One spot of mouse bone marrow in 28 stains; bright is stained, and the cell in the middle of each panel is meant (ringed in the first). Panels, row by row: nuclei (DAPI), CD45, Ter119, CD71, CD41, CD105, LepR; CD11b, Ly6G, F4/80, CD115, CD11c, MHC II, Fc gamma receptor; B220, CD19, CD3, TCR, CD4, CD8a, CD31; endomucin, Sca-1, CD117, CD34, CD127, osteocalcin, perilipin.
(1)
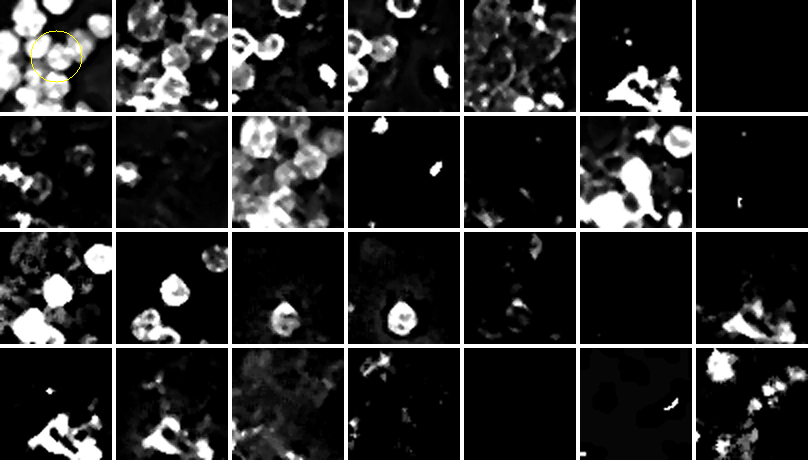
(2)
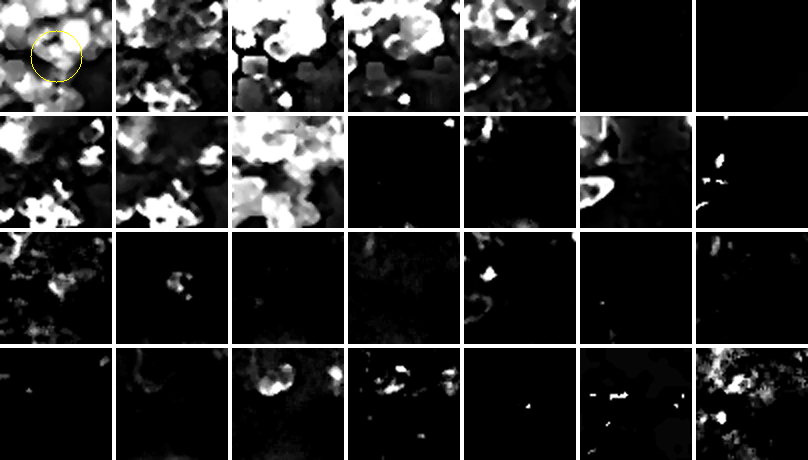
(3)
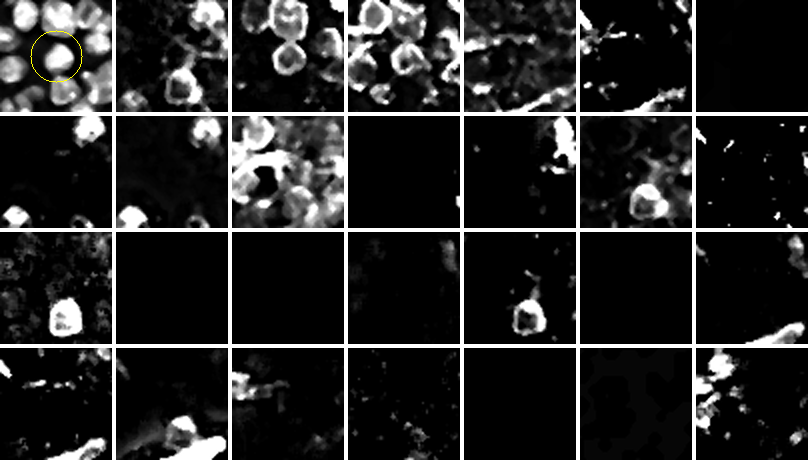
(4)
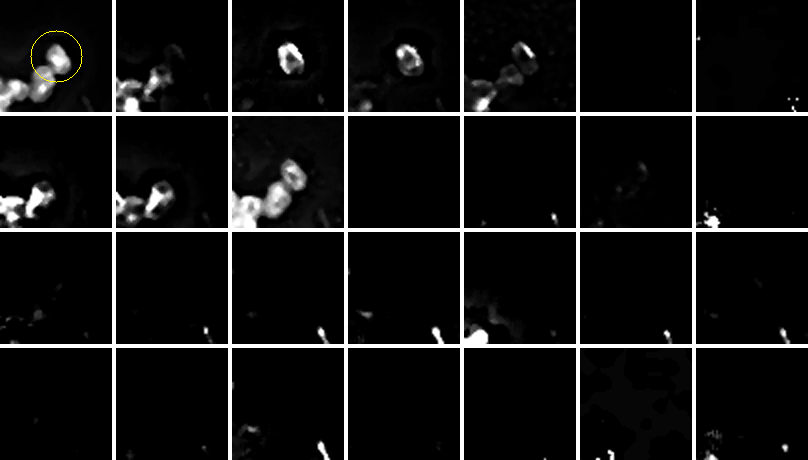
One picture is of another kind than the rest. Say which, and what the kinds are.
Picture 1 shows a B cell; the rest show erythroblasts.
